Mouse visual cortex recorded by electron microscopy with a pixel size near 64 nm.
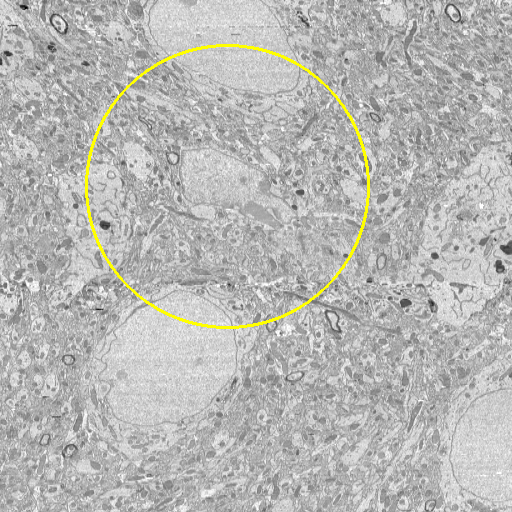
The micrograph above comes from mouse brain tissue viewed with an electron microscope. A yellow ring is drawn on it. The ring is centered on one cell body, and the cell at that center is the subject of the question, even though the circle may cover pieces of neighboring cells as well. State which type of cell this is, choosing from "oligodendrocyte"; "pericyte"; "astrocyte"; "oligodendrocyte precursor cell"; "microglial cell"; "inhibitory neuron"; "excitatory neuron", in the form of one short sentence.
The cell the ring is centered on is an oligodendrocyte precursor cell.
